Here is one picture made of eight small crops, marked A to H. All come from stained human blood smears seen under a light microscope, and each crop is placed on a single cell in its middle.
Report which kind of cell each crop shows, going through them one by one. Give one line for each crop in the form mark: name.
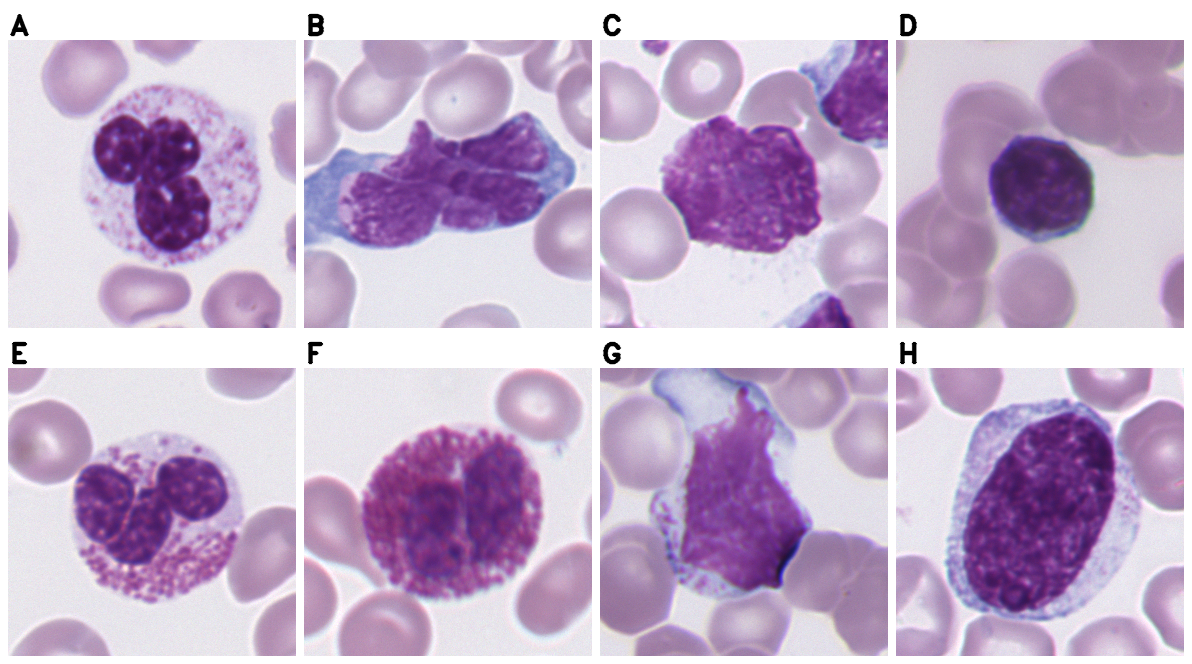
A: segmented neutrophil
B: myeloblast
C: smudge cell
D: typical lymphocyte
E: eosinophil
F: eosinophil
G: large granular lymphocyte
H: promyelocyte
